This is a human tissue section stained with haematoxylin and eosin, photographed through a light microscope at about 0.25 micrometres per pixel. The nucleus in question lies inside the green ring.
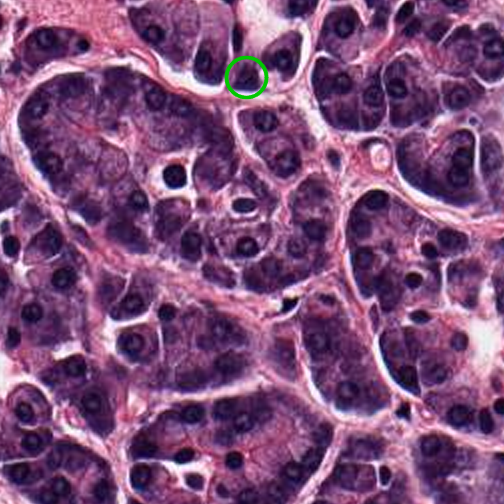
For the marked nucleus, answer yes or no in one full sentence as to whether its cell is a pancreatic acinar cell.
Yes, in this field of view the marked nucleus belongs to a pancreatic acinar cell.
